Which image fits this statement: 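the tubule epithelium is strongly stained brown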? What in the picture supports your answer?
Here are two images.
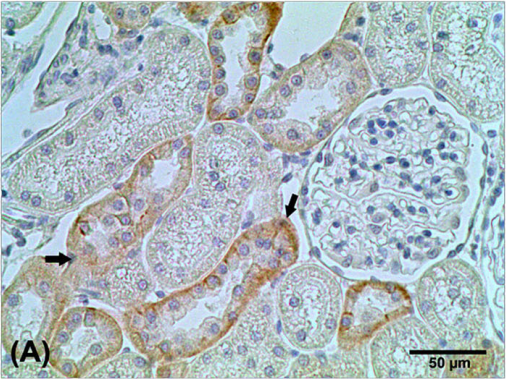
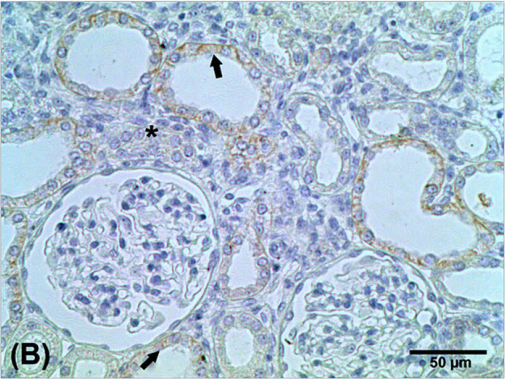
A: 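Second image: tubule epithelium shows only a faint thin brown line. First image: several tubules have cells clearly stained brown throughout. So: the first image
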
